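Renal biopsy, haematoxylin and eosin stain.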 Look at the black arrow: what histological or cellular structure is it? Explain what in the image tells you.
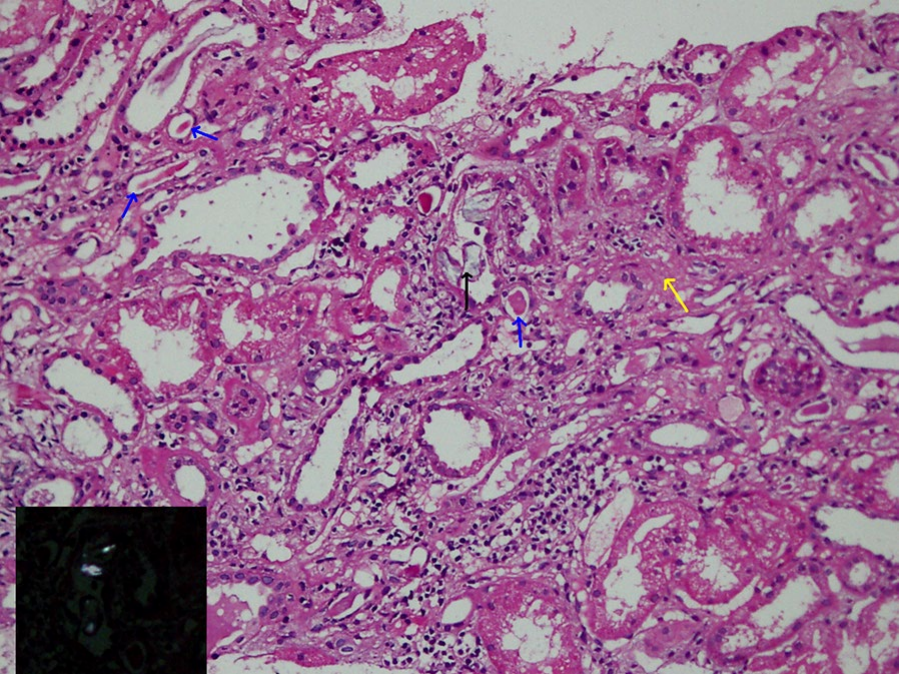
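Pale, glassy, angular material fills a tubule lumen. The inset on a dark background shows bright white refractile fragments.
Conclusion: oxalate crystals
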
